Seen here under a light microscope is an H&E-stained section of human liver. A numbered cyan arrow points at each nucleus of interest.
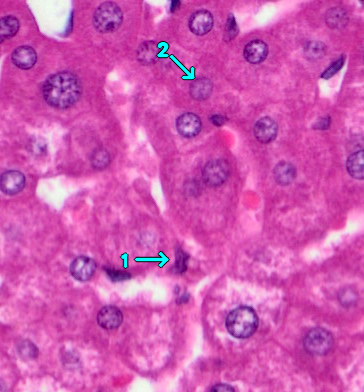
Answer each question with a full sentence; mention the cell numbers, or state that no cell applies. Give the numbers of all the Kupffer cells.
Cell 1 is a Kupffer cell and is the only numbered cell of that kind.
